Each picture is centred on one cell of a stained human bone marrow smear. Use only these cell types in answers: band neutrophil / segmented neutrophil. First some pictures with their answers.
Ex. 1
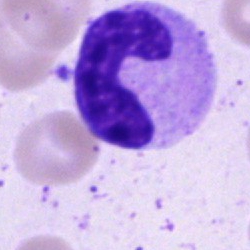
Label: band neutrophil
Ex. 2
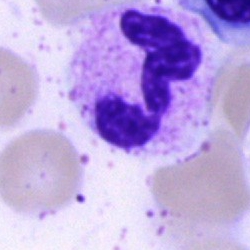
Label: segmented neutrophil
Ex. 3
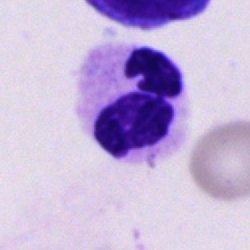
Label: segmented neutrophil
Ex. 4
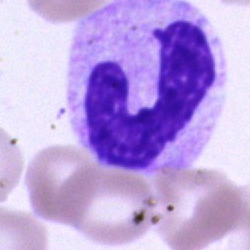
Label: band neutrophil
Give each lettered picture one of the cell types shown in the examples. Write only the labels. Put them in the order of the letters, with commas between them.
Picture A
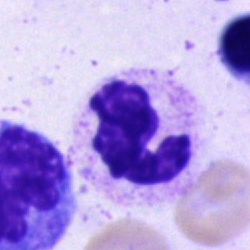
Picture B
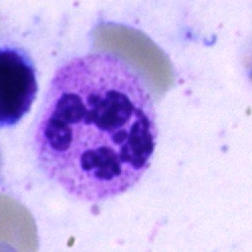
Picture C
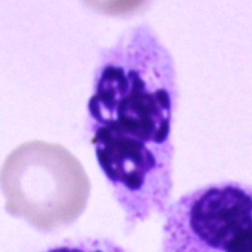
segmented neutrophil, segmented neutrophil, segmented neutrophil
